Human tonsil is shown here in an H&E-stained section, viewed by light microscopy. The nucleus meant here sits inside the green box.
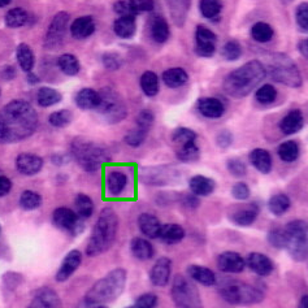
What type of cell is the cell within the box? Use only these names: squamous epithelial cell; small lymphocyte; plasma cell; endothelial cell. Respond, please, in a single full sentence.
Speaking plainly, the cell within the box is nothing other than a plasma cell.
